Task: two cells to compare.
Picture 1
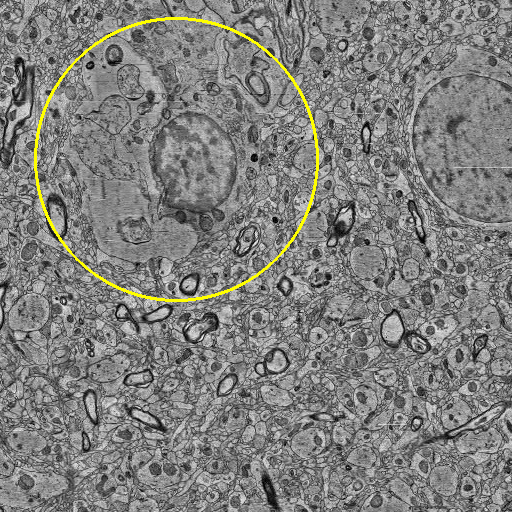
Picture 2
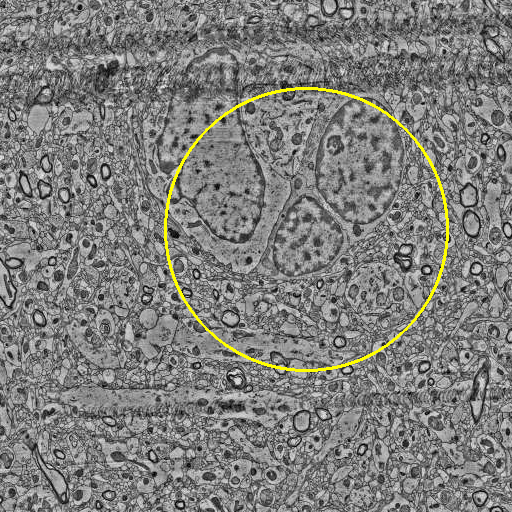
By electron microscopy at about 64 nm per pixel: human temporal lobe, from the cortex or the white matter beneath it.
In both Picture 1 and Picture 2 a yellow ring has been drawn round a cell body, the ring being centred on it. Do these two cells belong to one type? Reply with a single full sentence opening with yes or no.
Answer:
Yes, the two cells at the ring centres in Picture 1 and Picture 2 share one type.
